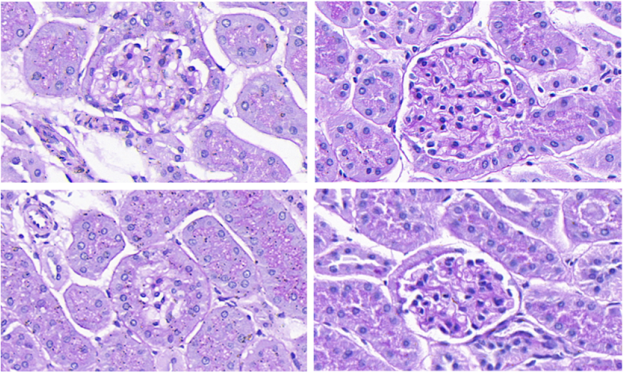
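Four fields of renal cortex, each with a glomerulus cut in cross-section among tubules. The tubules are lined by cuboidal epithelial cells with granular pink-purple cytoplasm and round blue nuclei, and their profiles are separated by thin pale interstitial spaces. In the right-hand fields the tufts are more crowded with cells and hold more magenta matrix between the loops than in the left-hand fields.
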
